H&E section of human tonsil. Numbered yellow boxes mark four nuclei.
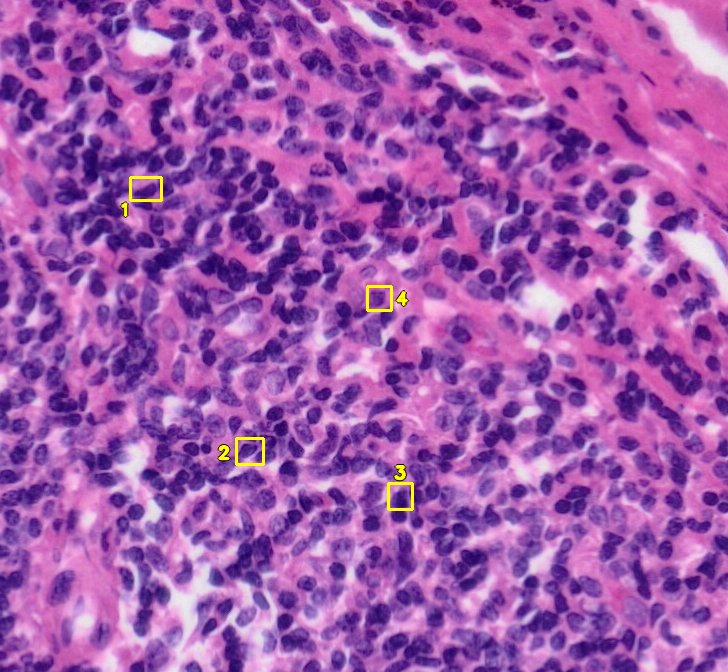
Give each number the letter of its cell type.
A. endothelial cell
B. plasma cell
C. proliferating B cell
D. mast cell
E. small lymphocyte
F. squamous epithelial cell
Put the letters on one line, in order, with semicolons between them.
E; E; E; A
